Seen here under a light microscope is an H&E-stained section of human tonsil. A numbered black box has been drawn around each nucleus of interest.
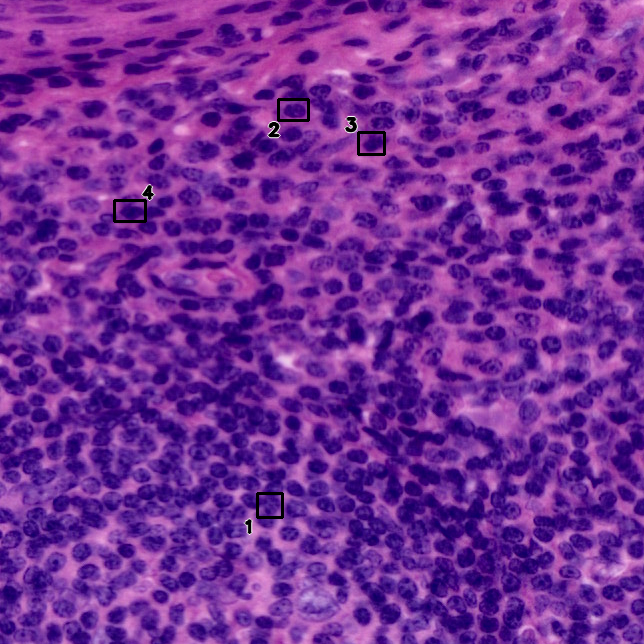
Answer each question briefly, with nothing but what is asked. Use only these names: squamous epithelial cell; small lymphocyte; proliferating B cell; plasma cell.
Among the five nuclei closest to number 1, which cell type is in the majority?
small lymphocyte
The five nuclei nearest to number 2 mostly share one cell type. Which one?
plasma cell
